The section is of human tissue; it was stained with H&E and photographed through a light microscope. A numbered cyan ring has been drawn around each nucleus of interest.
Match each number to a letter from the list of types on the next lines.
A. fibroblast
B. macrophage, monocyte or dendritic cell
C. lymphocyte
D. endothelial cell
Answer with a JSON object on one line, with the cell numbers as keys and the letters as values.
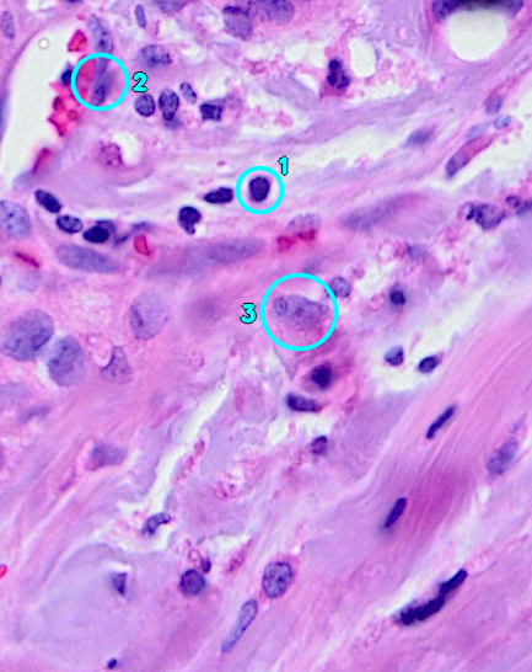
{"1": "C", "2": "D", "3": "A"}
